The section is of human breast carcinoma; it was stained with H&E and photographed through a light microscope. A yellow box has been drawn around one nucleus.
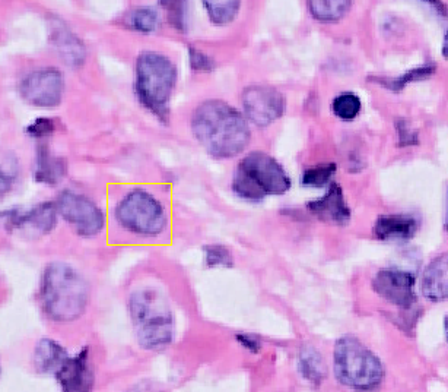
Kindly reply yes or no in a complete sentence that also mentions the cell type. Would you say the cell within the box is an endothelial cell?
No, the cell within the box counts as a carcinoma cell, not an endothelial cell.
